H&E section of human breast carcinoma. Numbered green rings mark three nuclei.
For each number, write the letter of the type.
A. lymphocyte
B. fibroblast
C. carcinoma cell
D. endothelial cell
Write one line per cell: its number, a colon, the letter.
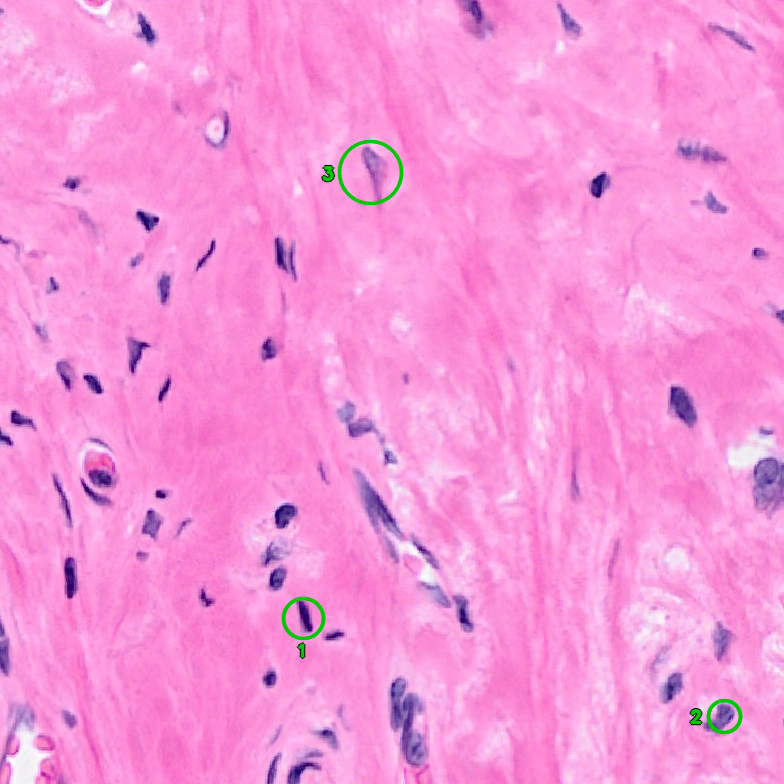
1: A
2: A
3: B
